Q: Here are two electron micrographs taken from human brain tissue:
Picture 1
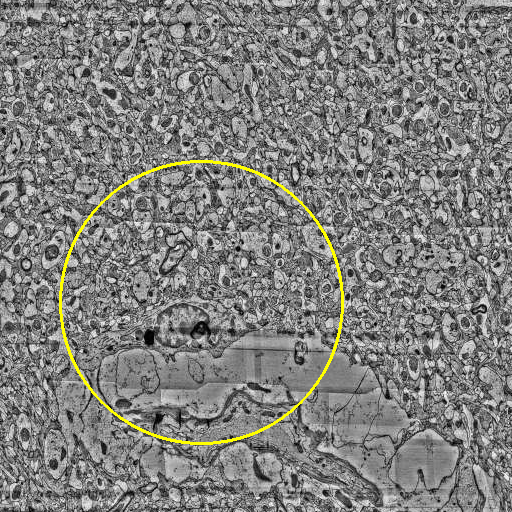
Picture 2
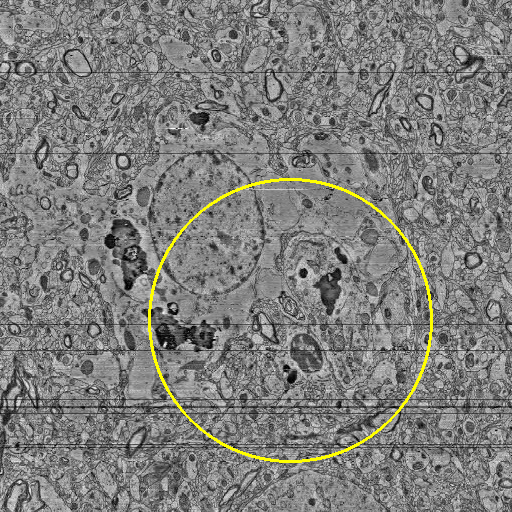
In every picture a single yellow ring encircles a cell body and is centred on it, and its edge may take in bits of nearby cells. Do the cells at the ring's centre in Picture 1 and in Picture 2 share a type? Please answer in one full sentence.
Yes, the cells at the ring's centre in Picture 1 and Picture 2 share a type.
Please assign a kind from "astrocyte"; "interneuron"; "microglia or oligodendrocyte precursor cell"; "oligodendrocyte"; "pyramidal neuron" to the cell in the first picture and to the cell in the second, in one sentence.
Both rings mark a microglial cell or oligodendrocyte precursor cell, one in each picture.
